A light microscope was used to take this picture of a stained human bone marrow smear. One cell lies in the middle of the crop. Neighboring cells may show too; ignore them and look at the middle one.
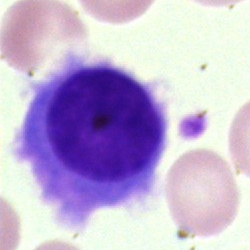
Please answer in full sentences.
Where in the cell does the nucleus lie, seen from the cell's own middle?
The nucleus is pushed toward the upper right of the cell.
